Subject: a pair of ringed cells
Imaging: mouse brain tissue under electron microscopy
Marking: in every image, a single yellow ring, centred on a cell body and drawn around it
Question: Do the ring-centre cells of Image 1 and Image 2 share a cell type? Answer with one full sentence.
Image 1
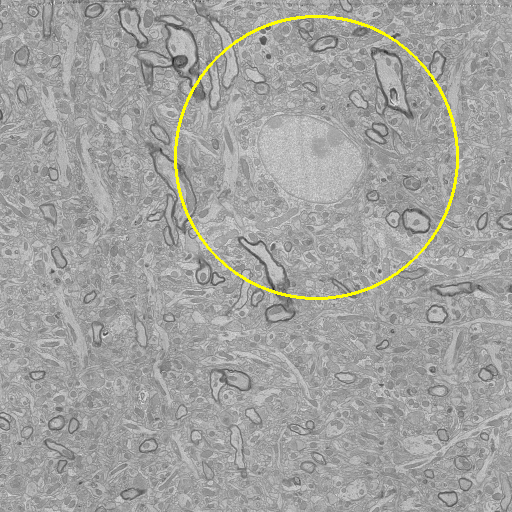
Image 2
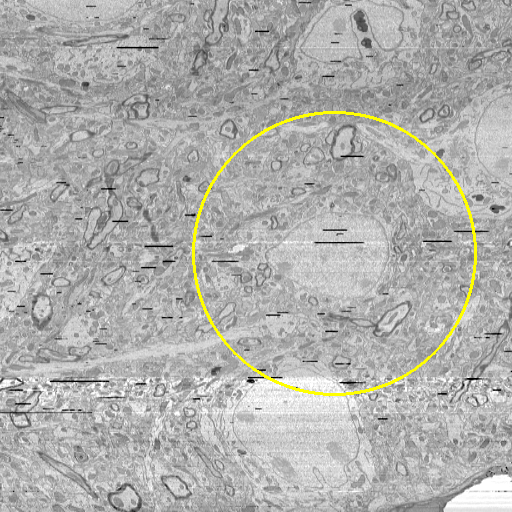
Yes, at each ring's centre in the images sits a cell of one common type.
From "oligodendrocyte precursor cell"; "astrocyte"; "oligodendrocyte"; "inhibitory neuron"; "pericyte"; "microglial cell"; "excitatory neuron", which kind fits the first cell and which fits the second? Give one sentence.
Each of the two rings surrounds an astrocyte.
